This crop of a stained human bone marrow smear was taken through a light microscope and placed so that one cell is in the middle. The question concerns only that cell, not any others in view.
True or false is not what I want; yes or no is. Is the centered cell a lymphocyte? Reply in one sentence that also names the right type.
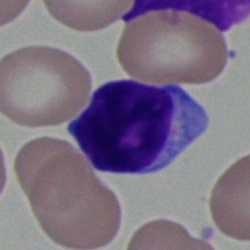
Yes, a lymphocyte is the cell positioned in the middle of the field.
